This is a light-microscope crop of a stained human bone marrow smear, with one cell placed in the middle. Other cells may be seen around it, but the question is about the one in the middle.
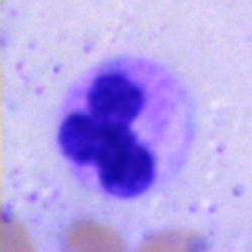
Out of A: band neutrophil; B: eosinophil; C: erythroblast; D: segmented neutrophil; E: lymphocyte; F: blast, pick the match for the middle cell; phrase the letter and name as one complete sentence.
Option D is the right one, for the cell in the middle is a segmented neutrophil.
